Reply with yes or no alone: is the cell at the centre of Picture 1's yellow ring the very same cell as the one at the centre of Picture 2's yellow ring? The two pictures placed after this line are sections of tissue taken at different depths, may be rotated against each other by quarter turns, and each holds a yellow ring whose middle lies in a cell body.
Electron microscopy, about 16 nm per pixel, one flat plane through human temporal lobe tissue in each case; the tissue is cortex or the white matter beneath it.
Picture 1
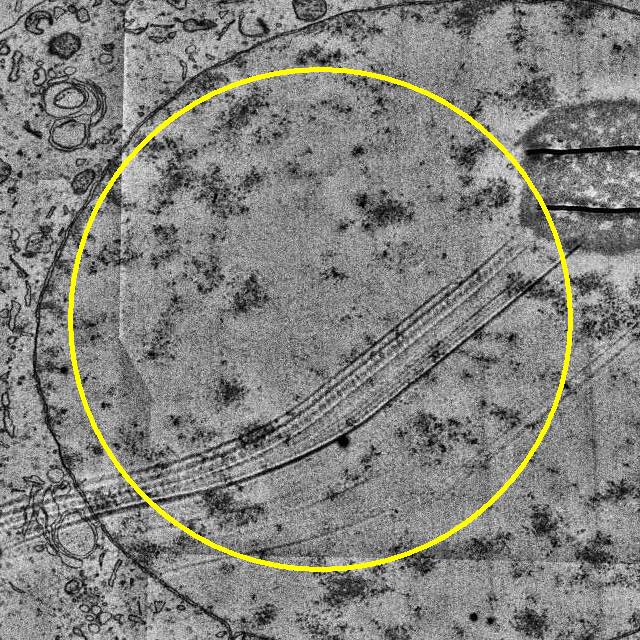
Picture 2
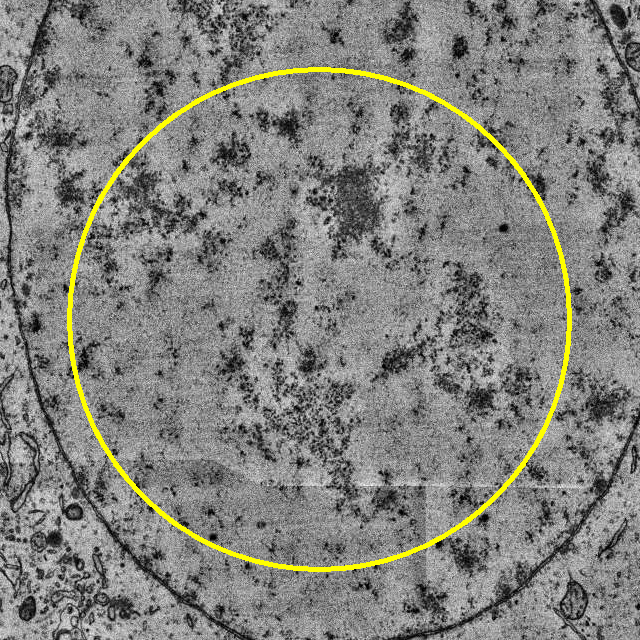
yes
